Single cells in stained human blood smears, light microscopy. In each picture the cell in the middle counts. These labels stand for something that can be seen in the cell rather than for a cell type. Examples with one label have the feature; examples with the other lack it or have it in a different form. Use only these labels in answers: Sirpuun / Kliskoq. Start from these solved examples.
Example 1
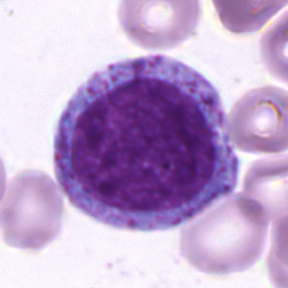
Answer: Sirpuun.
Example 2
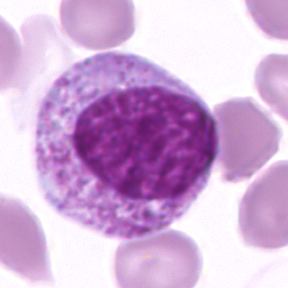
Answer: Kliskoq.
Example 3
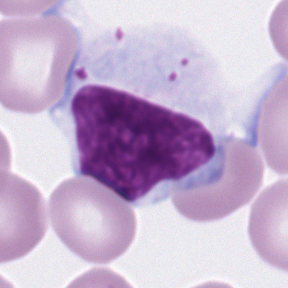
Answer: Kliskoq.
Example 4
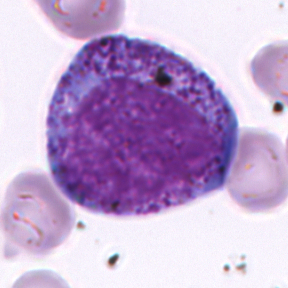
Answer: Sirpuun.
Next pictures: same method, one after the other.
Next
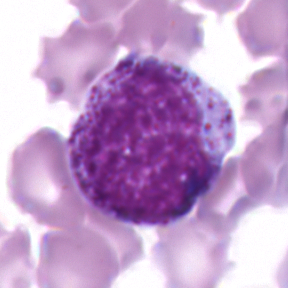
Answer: Sirpuun.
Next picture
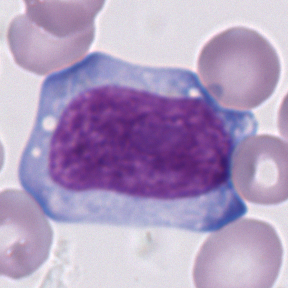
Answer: Kliskoq.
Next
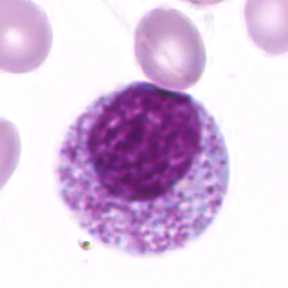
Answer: Kliskoq.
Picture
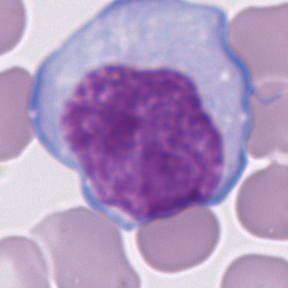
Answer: Kliskoq.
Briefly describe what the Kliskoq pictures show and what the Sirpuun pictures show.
In Kliskoq: abundant cytoplasm. In Sirpuun: scant cytoplasm.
